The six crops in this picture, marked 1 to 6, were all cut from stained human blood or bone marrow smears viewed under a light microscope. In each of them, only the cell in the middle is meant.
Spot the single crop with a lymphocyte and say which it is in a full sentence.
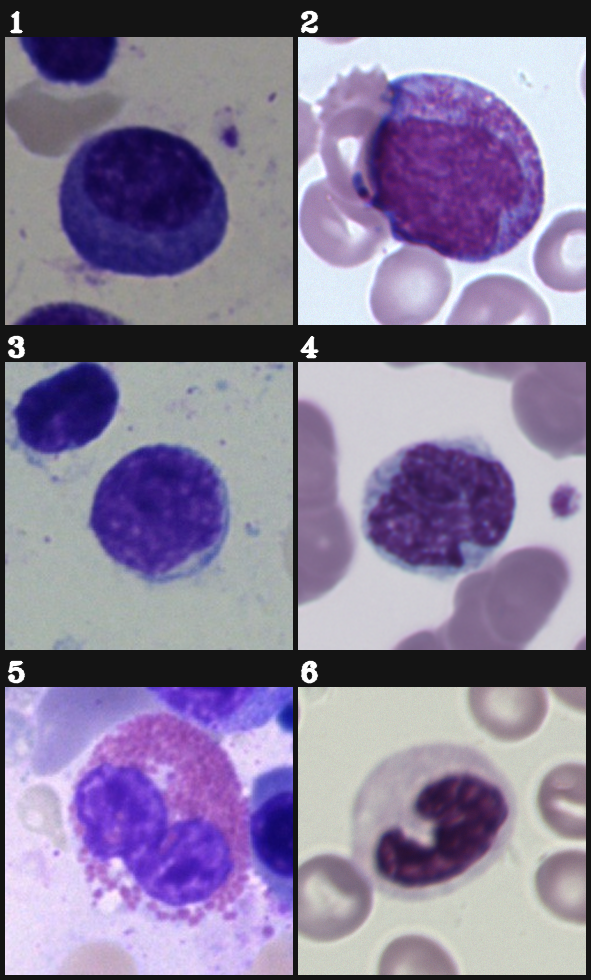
It is in crop 3, among all the crops, that a lymphocyte is present.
